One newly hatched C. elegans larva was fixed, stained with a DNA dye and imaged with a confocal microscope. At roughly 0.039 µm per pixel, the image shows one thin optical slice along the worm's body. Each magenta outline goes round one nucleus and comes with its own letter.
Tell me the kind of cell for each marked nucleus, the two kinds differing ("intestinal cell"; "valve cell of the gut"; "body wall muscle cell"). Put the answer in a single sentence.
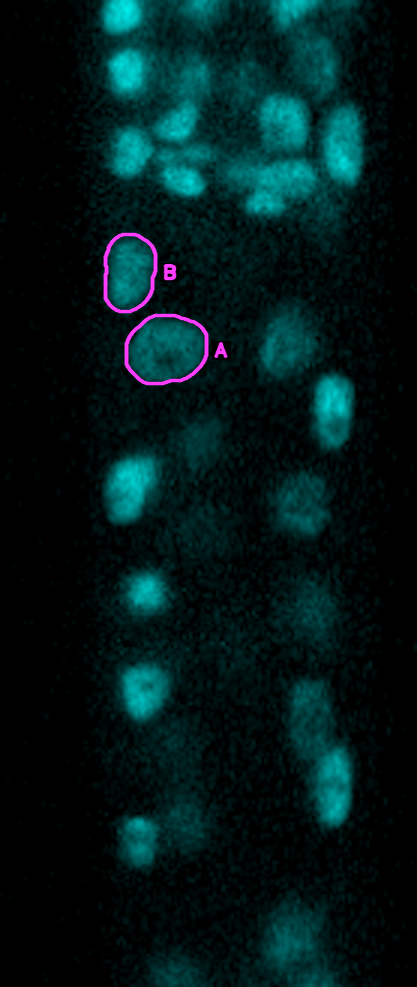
Nucleus A comes from an intestinal cell and nucleus B from a body wall muscle cell.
